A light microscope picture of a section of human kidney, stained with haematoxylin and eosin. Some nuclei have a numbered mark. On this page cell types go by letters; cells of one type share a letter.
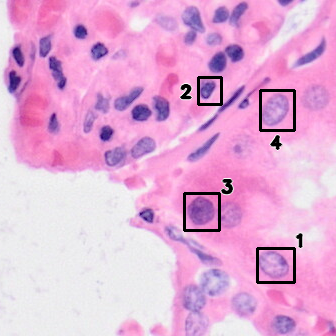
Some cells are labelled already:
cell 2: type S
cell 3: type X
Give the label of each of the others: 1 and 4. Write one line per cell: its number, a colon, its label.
1: type X
4: type X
